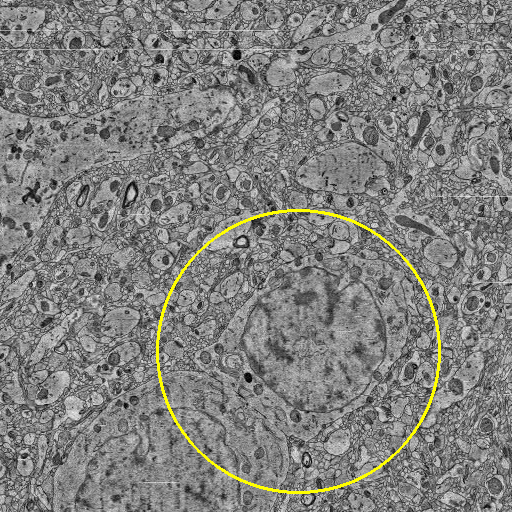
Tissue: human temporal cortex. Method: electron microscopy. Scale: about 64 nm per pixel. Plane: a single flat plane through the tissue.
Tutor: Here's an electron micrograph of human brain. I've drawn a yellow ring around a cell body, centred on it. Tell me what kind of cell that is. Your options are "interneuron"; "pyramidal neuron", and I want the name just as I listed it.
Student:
interneuron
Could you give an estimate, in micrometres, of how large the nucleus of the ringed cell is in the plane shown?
Approximately 9 micrometres across in this plane.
